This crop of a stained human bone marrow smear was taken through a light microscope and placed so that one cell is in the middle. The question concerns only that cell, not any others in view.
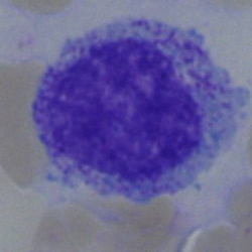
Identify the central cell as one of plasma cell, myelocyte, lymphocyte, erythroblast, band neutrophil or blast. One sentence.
The cell occupying the middle of the crop is a myelocyte.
